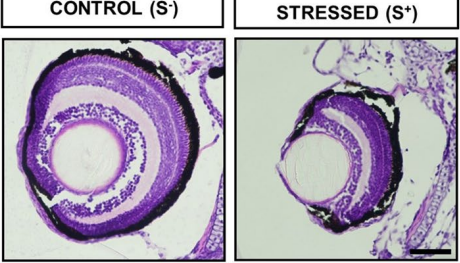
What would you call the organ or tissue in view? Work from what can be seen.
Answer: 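Eyes. Concentric purple-stained layers curve around the central round body. A black pigmented band forms the outer rim of each section.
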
